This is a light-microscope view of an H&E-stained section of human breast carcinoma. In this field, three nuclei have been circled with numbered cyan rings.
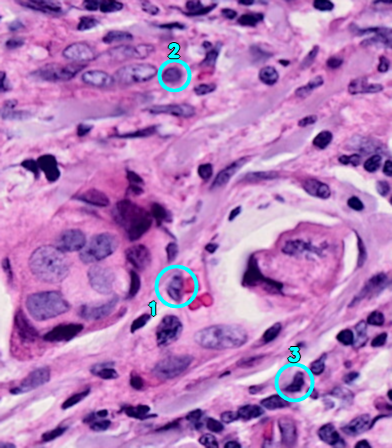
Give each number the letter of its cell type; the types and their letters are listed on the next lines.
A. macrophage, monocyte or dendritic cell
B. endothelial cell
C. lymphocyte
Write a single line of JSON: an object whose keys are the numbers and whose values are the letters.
{"1": "B", "2": "B", "3": "C"}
